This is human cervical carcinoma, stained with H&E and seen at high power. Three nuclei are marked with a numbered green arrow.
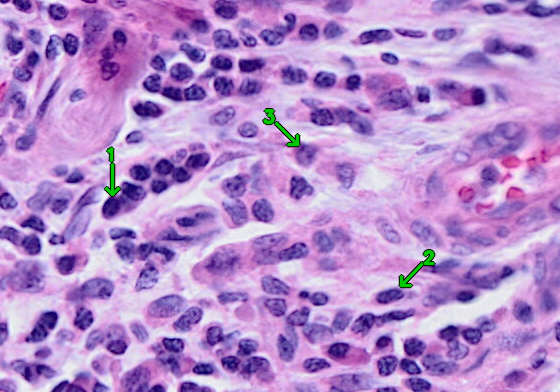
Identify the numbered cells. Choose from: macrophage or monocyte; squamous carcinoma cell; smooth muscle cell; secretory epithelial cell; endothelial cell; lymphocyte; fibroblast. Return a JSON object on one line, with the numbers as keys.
{"1": "lymphocyte", "2": "lymphocyte", "3": "macrophage or monocyte"}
